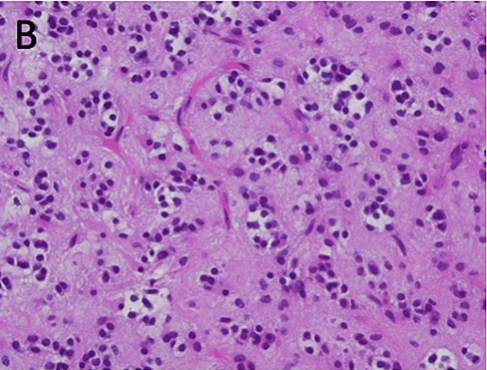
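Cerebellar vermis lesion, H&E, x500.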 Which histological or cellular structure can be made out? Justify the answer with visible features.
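Thin pink curving vessel walls run between the cell clusters.
Delicate vasculature.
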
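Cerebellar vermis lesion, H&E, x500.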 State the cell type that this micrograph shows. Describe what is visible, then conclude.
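Oligodendrocyte-like cells. Small round uniform nuclei gathered in clusters. Many nuclei are surrounded by clear perinuclear halos. Clusters lie in a pale pink fibrillary background.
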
